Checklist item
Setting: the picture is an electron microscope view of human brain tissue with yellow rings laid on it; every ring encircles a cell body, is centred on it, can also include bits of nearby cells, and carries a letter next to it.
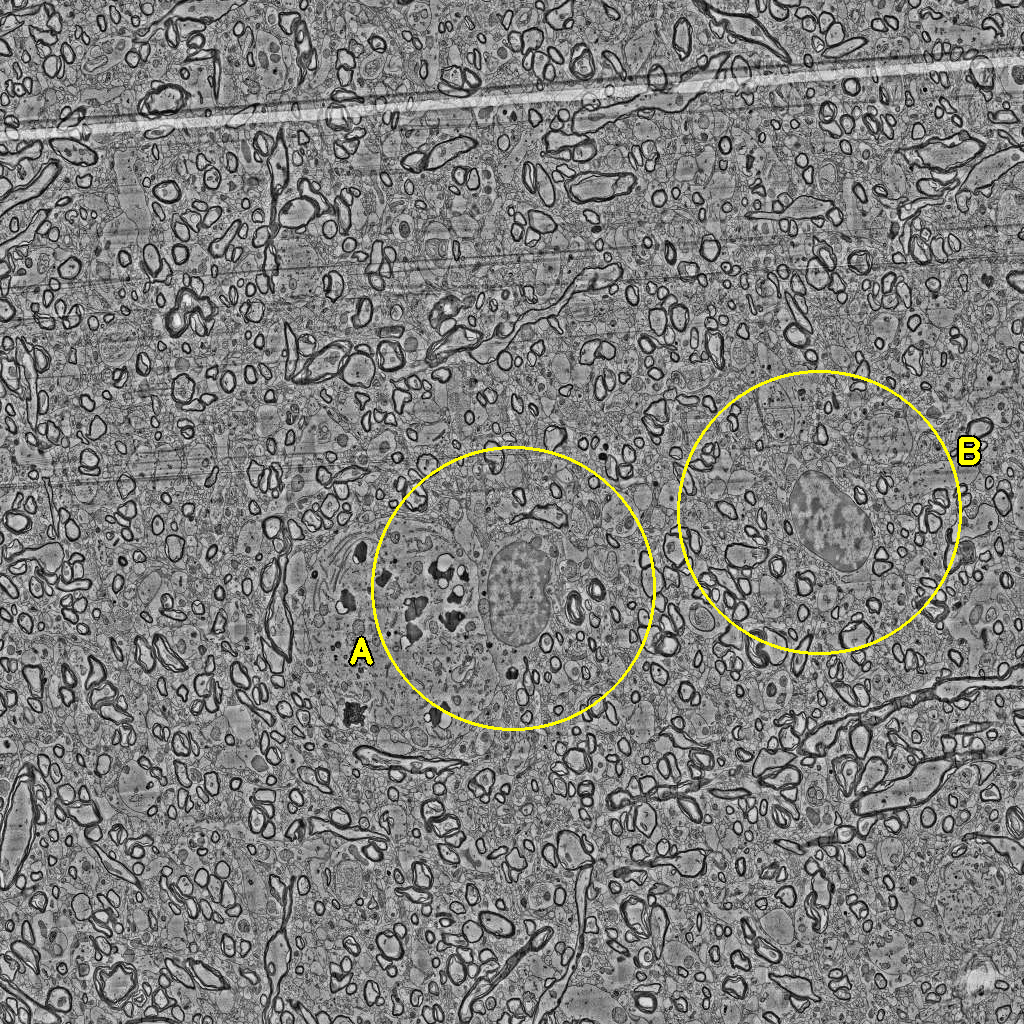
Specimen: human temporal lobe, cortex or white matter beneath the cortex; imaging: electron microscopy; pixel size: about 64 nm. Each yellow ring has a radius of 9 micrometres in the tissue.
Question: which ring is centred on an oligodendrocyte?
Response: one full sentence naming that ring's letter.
My response is that ring A has the sought cell at its centre.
